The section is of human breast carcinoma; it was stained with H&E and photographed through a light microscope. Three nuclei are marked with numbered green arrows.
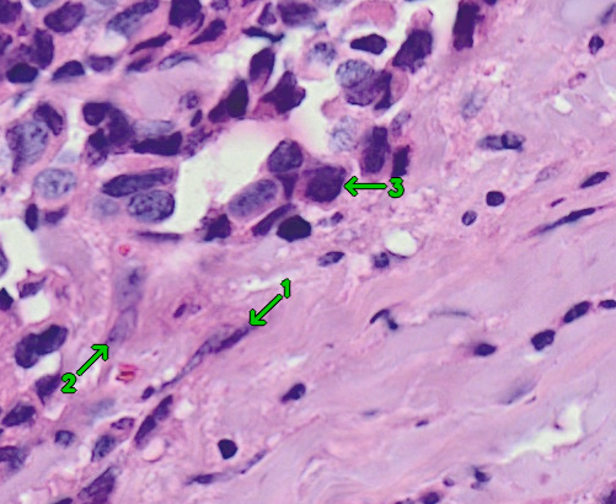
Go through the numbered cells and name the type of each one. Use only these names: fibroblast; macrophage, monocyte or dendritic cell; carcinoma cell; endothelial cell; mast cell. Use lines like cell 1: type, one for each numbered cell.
cell 1: fibroblast
cell 2: endothelial cell
cell 3: carcinoma cell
